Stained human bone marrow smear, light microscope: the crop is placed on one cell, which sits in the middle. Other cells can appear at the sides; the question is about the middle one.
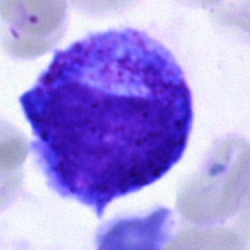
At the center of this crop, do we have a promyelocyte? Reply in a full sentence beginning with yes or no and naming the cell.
Yes, the cell of interest in the centre is a promyelocyte.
